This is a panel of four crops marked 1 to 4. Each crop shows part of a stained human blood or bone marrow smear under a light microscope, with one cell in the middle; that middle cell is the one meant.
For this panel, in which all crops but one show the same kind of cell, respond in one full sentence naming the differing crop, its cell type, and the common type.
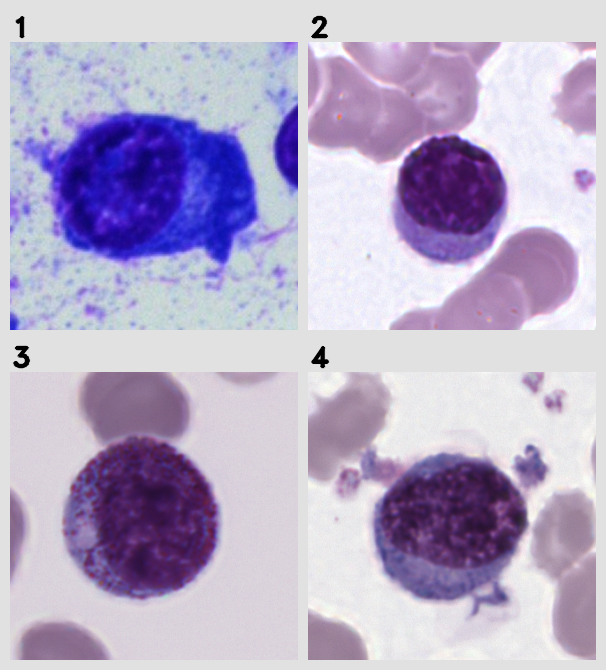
Differing from the rest, crop 3 shows a promyelocyte; the others all show plasma cells.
